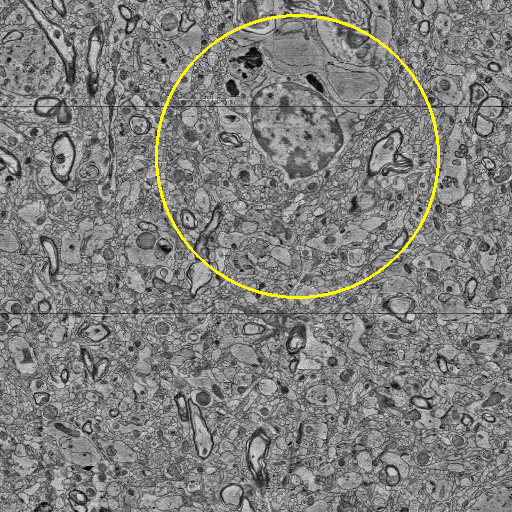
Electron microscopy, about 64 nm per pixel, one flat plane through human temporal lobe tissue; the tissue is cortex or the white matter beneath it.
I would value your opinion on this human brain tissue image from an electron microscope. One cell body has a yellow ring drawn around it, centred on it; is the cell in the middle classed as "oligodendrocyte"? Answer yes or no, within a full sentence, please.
No, I would class the cell in the middle of the ring as a different kind.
